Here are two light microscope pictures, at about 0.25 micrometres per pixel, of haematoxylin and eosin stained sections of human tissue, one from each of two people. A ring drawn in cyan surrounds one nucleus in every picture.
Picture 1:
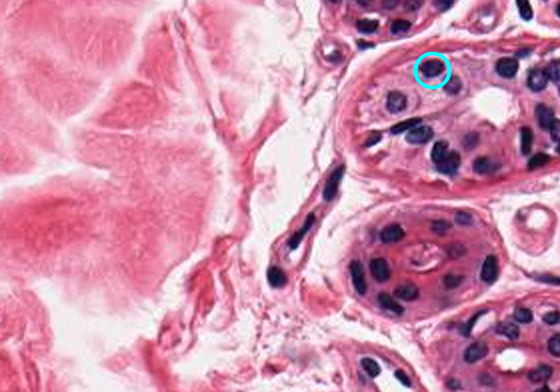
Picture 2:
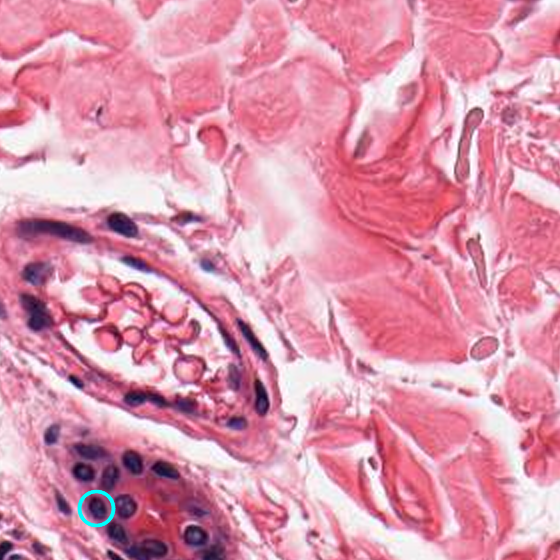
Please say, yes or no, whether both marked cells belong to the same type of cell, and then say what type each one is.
Yes, both are sweat gland cells.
